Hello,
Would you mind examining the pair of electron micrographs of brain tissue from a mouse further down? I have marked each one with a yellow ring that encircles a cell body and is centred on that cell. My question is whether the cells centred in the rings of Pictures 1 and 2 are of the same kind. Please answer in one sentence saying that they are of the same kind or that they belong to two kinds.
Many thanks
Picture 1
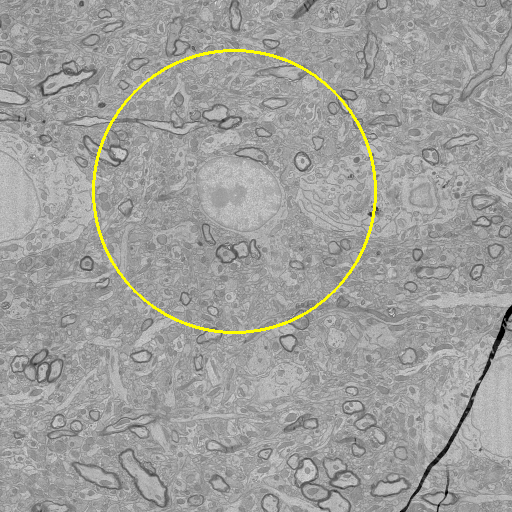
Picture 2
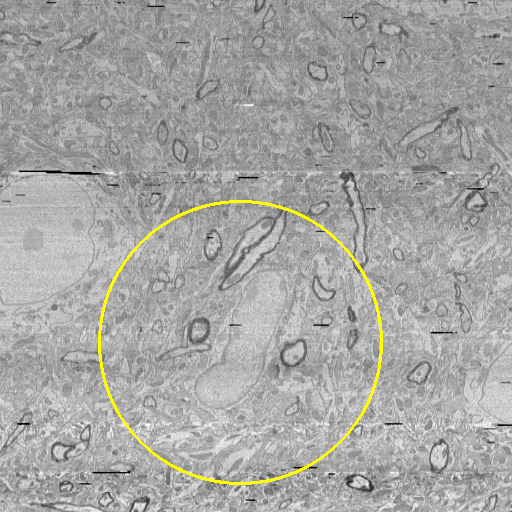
In Pictures 1 and 2, the cells at the heart of the rings belong to two kinds.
